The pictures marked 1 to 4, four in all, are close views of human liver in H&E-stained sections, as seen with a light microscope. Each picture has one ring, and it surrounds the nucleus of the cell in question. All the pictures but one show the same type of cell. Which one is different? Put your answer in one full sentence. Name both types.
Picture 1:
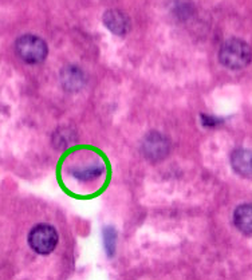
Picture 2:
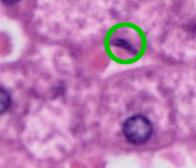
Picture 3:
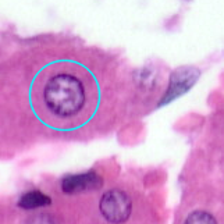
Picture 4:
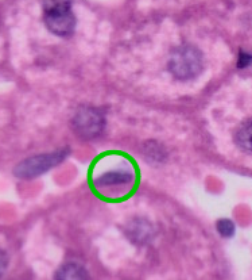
Picture 3 is the odd one out: it shows a hepatocyte, while the others show endothelial cells.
